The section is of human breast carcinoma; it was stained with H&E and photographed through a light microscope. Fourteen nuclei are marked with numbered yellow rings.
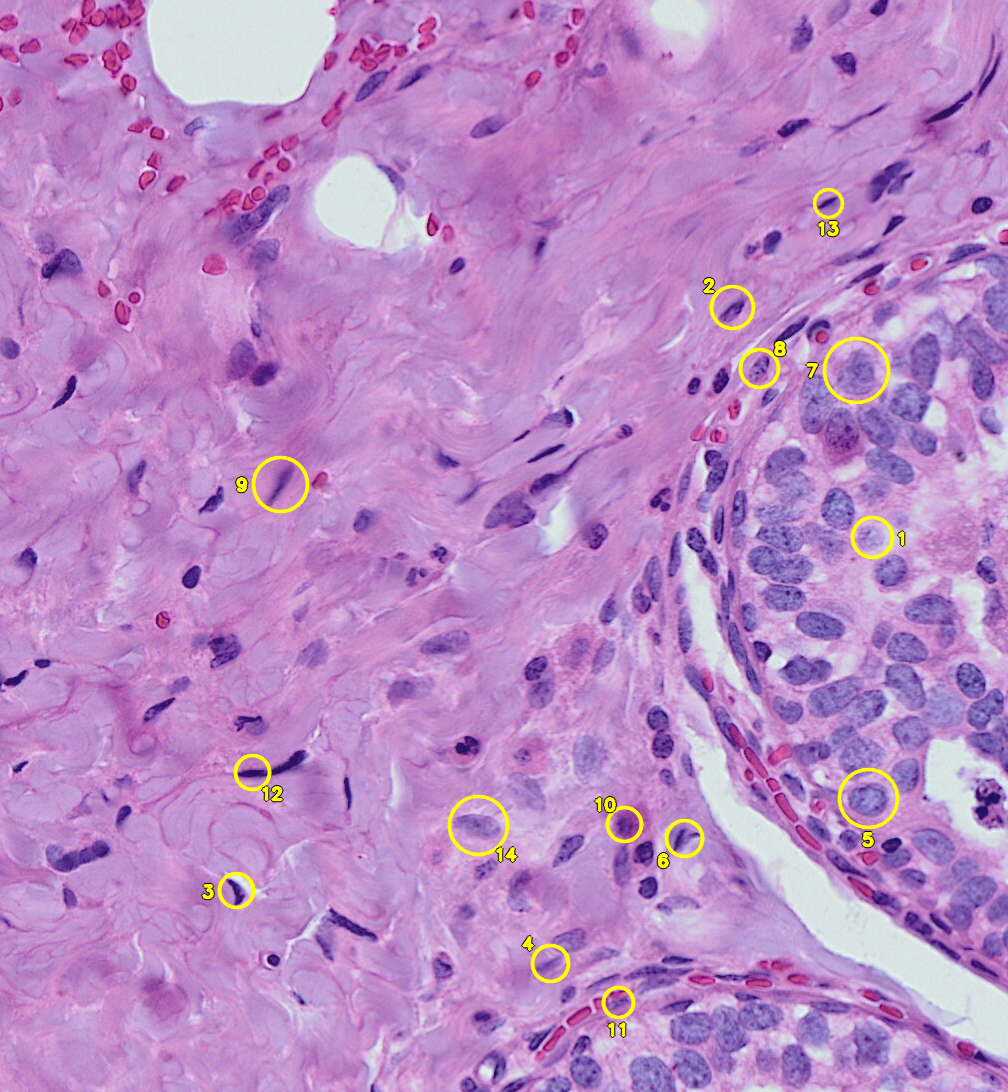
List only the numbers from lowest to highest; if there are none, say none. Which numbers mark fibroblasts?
2, 3, 4, 6, 9, 12, 13, 14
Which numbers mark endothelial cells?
11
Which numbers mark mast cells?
8, 10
